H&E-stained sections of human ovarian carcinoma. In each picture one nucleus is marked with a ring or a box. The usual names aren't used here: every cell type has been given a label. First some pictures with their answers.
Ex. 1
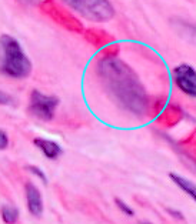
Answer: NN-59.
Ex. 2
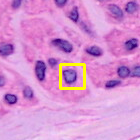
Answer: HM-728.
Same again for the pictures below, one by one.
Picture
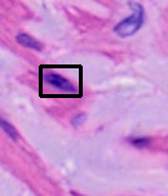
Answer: HM-728.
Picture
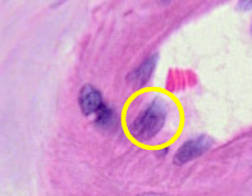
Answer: NN-59.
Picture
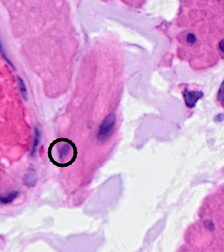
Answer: HM-728.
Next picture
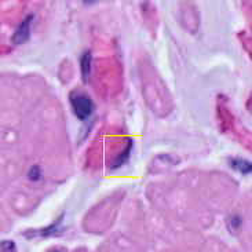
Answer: NN-59.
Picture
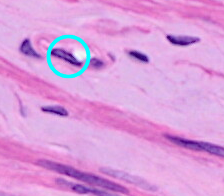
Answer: NN-59.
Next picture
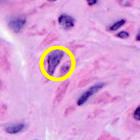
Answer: HM-728.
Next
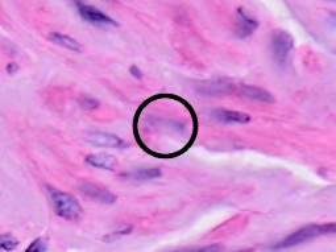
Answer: HM-728.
